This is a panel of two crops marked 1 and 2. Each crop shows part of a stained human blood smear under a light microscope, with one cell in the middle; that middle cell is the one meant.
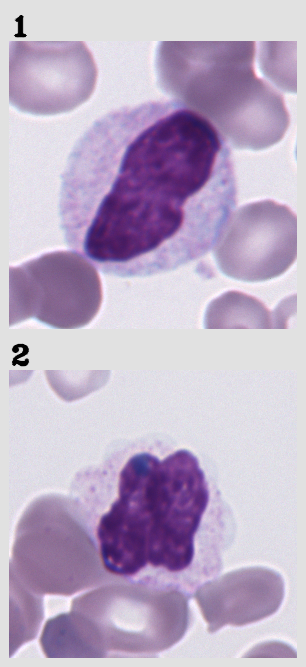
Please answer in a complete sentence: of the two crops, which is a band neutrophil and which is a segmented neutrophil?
Crop 1 is a band neutrophil; crop 2, on the other hand, is a segmented neutrophil.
